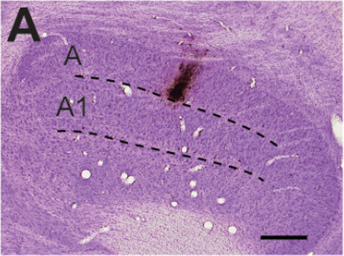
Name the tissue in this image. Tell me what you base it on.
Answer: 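A curved nucleus of densely packed purple-stained cells. The cell mass is divided into stacked curved layers. Pale fiber tracts surround the nucleus.
Hence: lateral geniculate nucleus.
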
